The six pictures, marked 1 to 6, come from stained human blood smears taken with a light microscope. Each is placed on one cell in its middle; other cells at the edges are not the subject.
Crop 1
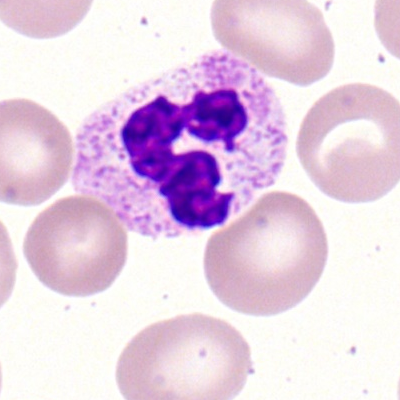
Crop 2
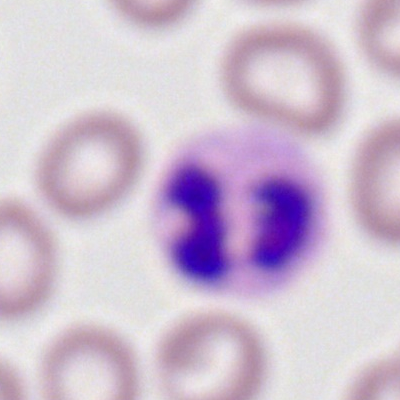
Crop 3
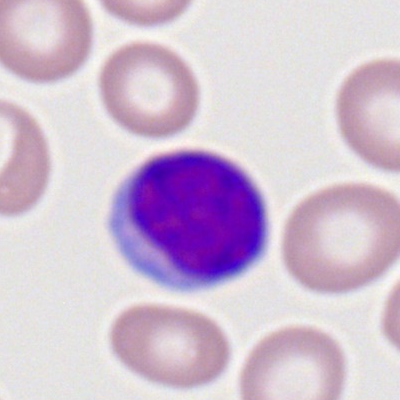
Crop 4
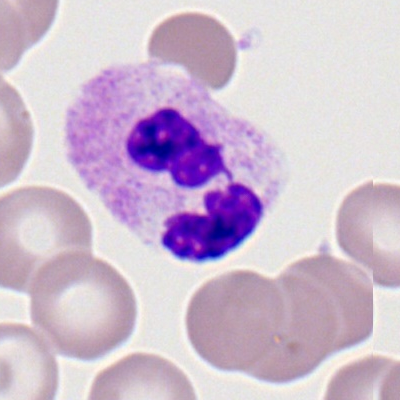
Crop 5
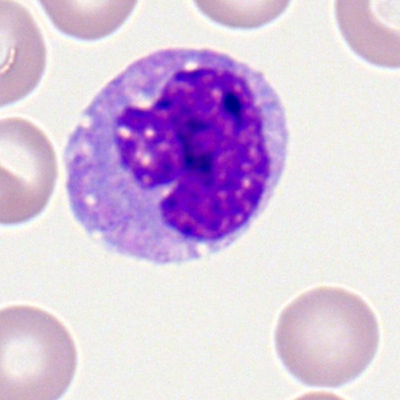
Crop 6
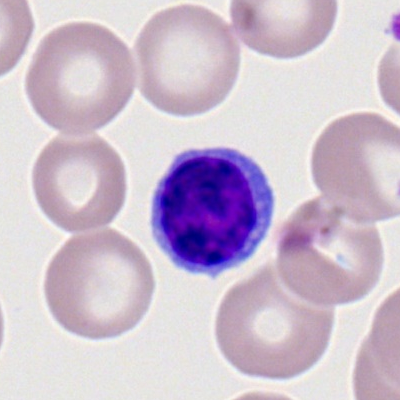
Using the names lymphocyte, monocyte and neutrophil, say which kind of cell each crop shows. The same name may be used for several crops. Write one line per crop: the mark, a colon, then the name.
1: neutrophil
2: neutrophil
3: lymphocyte
4: neutrophil
5: monocyte
6: lymphocyte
